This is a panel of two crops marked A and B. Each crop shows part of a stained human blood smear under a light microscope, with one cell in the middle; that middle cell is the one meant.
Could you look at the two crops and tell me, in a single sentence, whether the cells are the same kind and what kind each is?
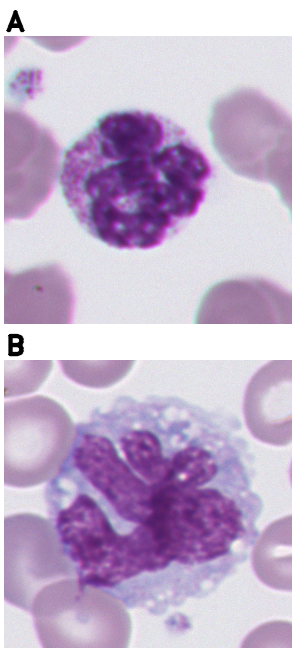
No, crop A carries a neutrophil and crop B carries a monocyte.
